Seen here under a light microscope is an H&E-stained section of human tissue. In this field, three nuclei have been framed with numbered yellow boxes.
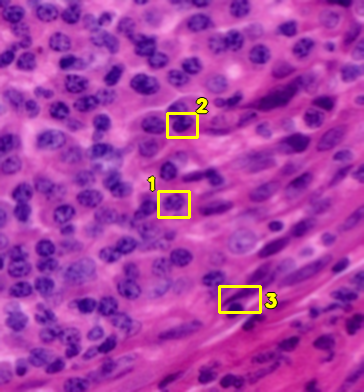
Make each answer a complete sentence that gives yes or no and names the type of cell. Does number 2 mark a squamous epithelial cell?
No, cell 2 is identified not as a squamous epithelial cell but as a plasma cell.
